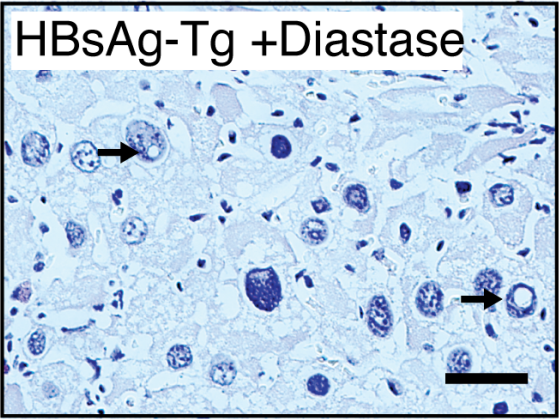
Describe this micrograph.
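This is liver tissue in which the hepatocytes appear pale, with cytoplasm left almost colourless and wispy. Their round nuclei stand out in blue, with speckled chromatin. In several nuclei there is a round clear body bordered by a thin rim, lying within the nucleus. No magenta colour is seen in the cytoplasm or in these bodies. Small, dark, elongated nuclei of other cells lie between the hepatocytes.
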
